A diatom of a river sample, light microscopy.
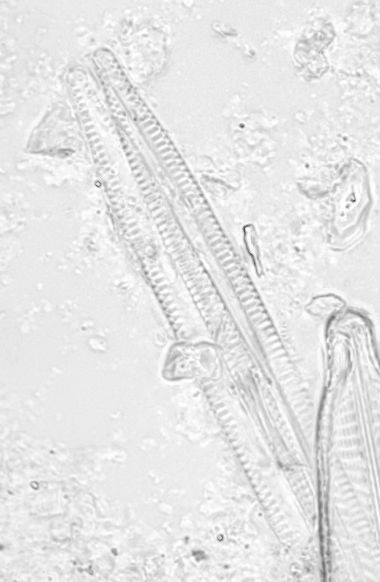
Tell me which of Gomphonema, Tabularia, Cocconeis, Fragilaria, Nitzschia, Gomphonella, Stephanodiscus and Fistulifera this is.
The picture shows Tabularia.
